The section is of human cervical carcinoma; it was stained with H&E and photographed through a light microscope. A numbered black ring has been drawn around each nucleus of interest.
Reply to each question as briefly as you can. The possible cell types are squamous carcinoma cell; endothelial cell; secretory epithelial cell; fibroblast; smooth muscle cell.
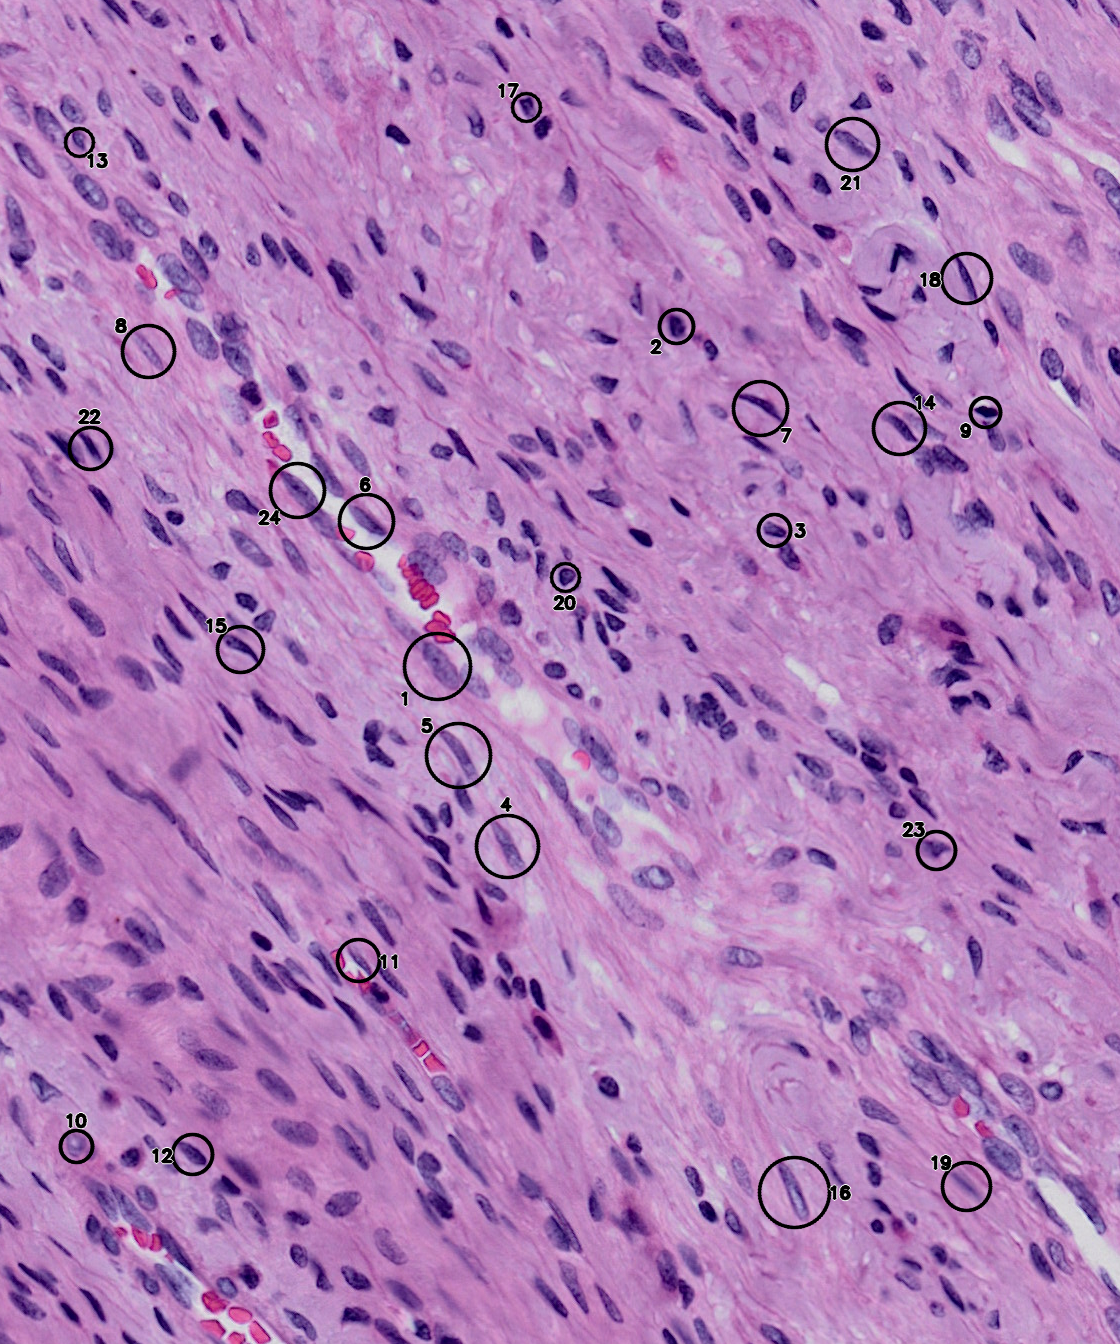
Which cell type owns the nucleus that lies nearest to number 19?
endothelial cell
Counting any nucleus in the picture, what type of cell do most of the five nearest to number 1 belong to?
endothelial cell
